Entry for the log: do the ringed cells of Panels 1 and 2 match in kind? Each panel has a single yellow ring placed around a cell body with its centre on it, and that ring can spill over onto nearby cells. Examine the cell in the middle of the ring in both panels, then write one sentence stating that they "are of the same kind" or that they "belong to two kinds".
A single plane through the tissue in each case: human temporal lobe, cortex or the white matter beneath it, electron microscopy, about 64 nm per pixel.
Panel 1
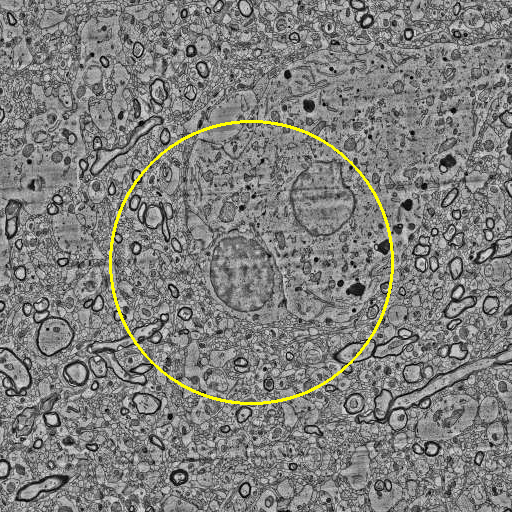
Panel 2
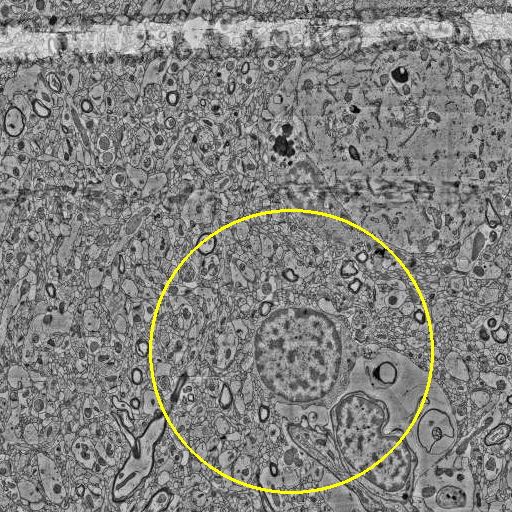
The centre cell of Panel 1's ring and that of Panel 2's ring are of the same kind.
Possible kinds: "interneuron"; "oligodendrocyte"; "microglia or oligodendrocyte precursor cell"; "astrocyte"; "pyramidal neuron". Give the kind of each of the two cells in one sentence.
Each of the two rings is centred on an oligodendrocyte.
